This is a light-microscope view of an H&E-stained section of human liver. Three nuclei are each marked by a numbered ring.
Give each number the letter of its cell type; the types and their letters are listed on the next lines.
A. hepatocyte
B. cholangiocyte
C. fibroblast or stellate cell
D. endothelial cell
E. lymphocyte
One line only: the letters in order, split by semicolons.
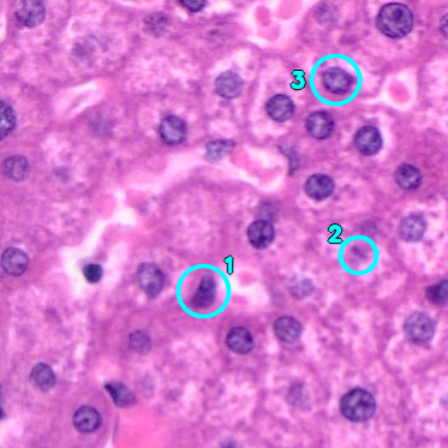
C; A; A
